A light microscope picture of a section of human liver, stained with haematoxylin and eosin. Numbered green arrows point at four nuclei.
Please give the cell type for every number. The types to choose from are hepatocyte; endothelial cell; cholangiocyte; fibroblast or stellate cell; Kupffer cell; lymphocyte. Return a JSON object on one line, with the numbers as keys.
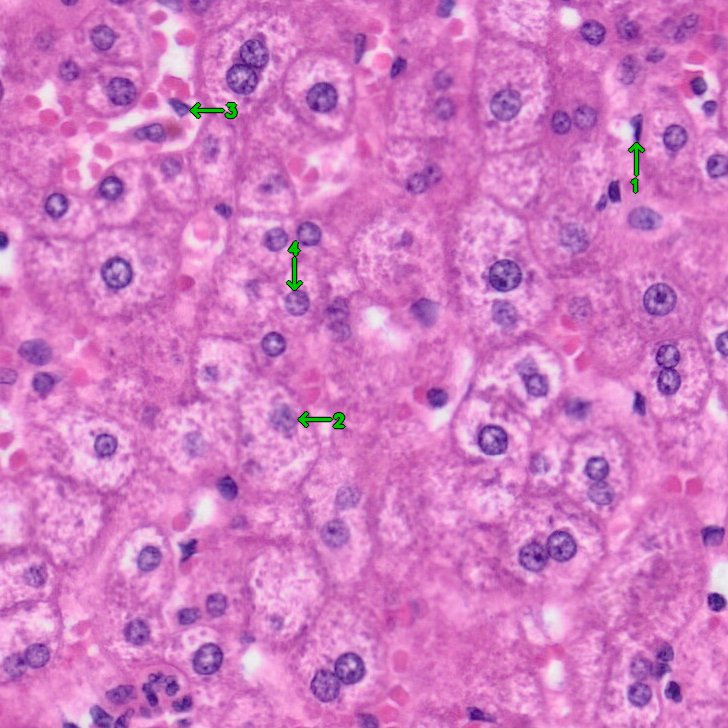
{"1": "endothelial cell", "2": "hepatocyte", "3": "lymphocyte", "4": "hepatocyte"}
